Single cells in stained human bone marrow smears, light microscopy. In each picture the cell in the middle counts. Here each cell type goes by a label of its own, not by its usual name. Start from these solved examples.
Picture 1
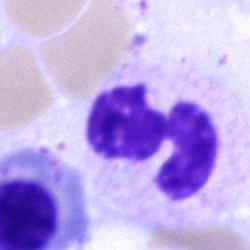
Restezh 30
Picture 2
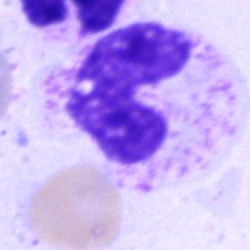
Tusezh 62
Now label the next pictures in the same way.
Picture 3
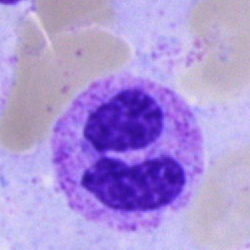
Restezh 30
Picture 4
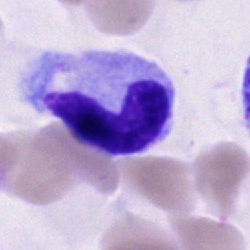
Tusezh 62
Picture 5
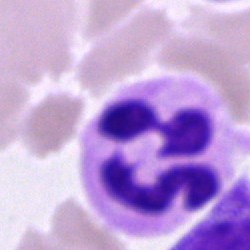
Restezh 30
